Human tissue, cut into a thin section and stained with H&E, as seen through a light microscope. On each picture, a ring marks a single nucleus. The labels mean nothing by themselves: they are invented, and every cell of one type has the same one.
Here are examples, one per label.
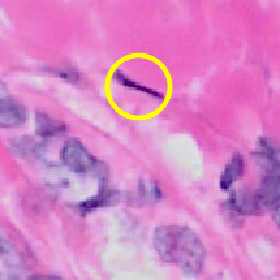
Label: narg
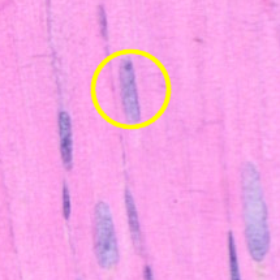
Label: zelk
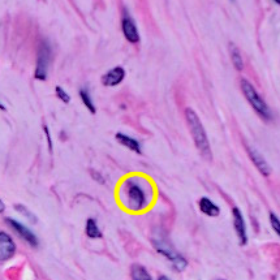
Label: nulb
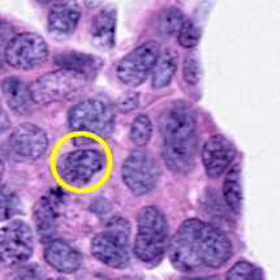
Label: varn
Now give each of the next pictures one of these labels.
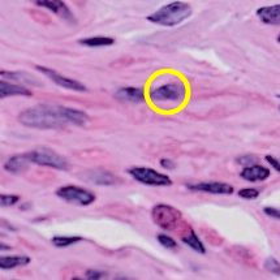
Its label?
nulb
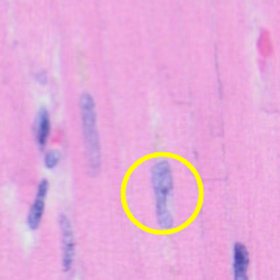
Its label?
zelk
